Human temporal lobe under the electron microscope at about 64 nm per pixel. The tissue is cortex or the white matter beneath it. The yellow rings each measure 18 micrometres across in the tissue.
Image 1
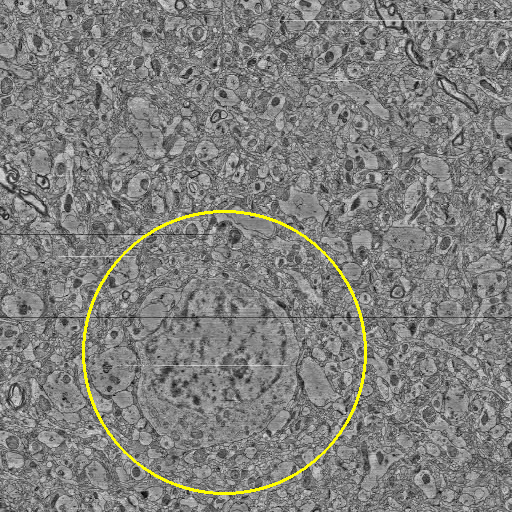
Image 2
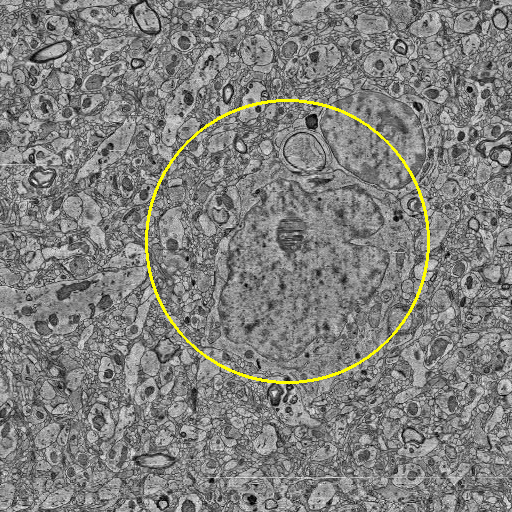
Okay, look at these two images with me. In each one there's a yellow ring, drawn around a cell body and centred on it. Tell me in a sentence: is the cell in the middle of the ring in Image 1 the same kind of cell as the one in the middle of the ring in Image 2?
Yes, they're the same kind of cell.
